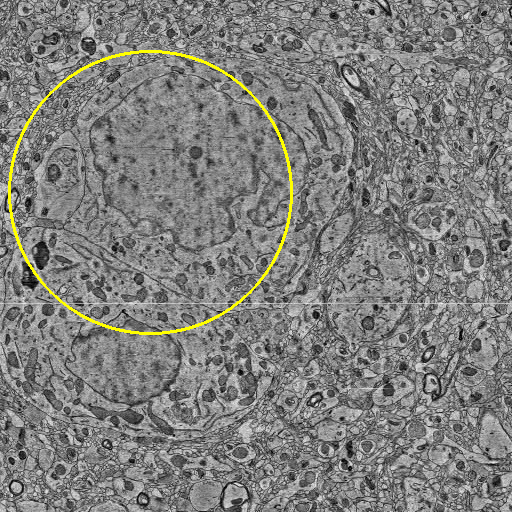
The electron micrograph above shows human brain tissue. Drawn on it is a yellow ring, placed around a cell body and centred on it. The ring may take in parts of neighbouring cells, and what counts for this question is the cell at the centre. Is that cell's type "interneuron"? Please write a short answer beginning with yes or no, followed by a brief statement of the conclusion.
Yes, its type is the one named.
